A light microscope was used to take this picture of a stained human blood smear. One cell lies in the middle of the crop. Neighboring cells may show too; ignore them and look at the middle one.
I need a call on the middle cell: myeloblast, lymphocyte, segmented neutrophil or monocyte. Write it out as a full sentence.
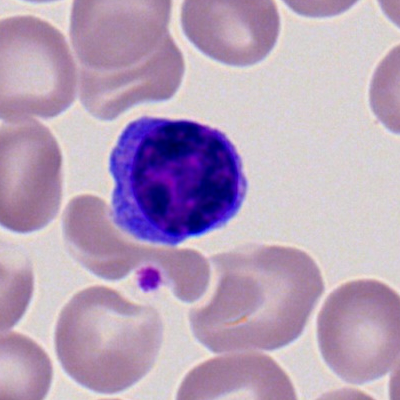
At the center of the crop sits a lymphocyte.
